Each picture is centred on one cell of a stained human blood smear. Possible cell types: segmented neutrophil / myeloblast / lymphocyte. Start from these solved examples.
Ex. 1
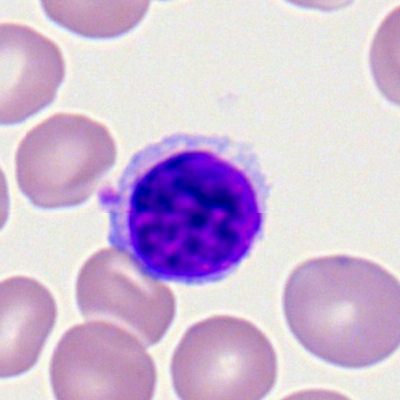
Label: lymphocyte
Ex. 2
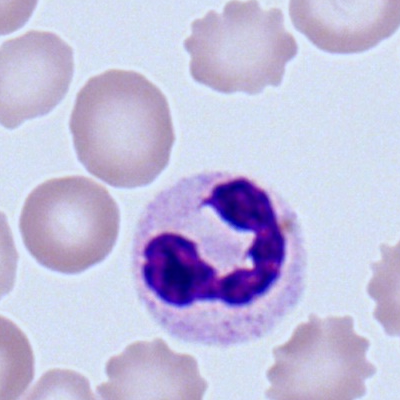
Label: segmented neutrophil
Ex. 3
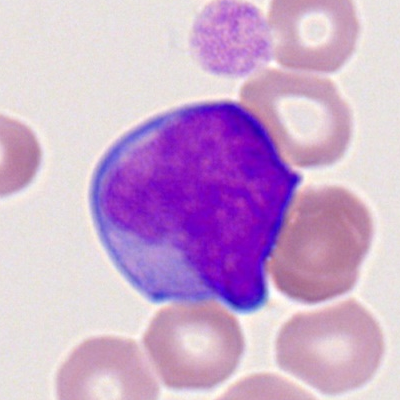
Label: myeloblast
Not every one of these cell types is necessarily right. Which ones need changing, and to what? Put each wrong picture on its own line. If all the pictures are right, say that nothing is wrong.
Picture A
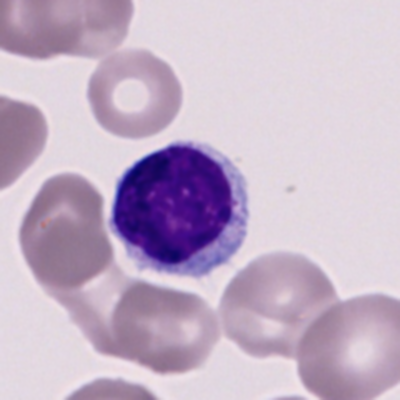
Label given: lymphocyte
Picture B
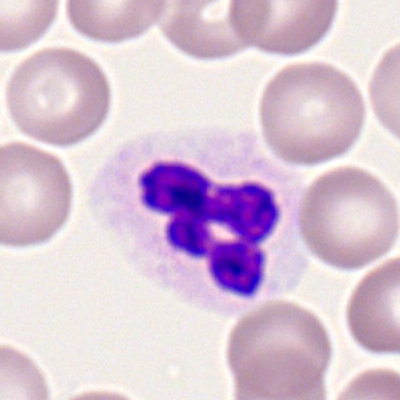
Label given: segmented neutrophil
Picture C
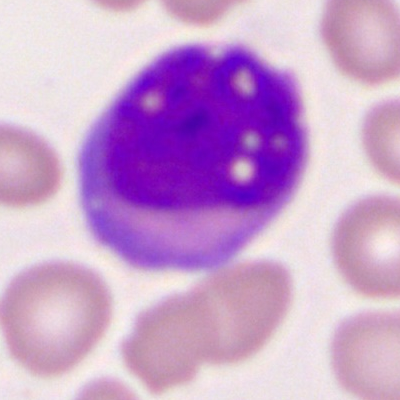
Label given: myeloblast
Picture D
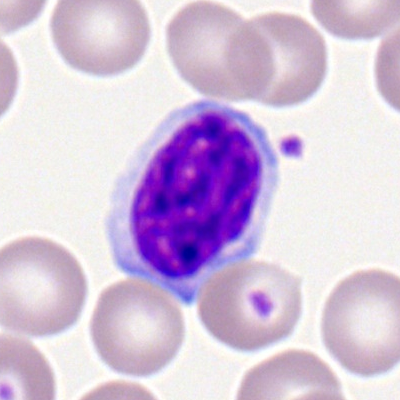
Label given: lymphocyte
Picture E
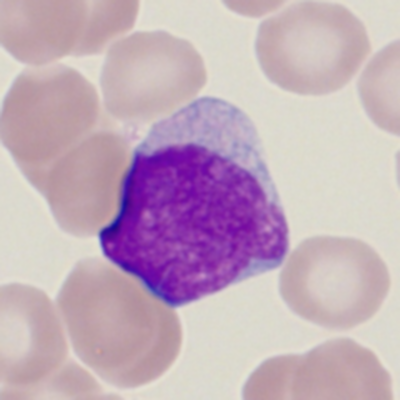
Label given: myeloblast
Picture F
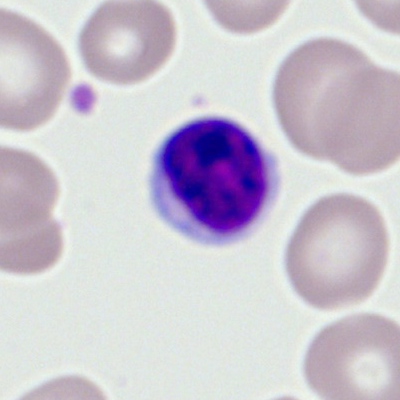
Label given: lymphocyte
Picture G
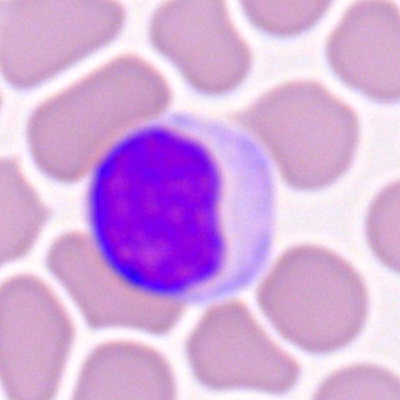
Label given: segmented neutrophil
G: lymphocyte, not segmented neutrophil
